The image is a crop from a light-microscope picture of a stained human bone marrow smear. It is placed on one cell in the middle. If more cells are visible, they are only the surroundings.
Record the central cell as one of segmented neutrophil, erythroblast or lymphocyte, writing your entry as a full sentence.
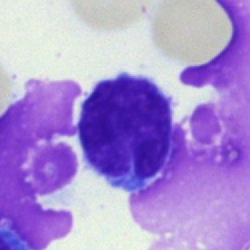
Within this crop, a lymphocyte occupies the central position.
